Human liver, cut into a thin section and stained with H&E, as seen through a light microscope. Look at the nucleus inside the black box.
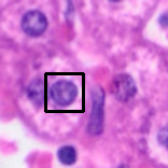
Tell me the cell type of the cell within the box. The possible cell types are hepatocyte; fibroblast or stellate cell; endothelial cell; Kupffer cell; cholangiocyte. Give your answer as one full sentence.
In cellular terms, the cell within the box is a hepatocyte.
